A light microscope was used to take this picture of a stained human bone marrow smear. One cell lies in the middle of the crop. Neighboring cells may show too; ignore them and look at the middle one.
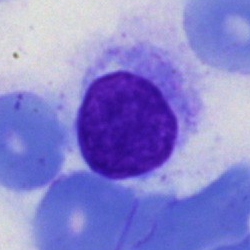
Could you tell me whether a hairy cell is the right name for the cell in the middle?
yes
